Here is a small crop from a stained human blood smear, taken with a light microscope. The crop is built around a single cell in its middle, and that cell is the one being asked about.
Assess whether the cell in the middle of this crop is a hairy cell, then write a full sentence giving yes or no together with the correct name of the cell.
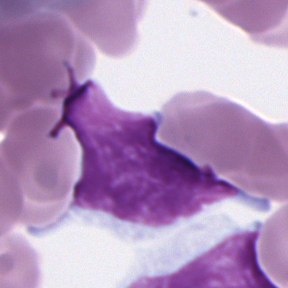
No, the cell at the centre is identified as a typical lymphocyte, not as a hairy cell.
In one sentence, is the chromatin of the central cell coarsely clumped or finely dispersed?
The chromatin shows a fine pattern without coarse clumps.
